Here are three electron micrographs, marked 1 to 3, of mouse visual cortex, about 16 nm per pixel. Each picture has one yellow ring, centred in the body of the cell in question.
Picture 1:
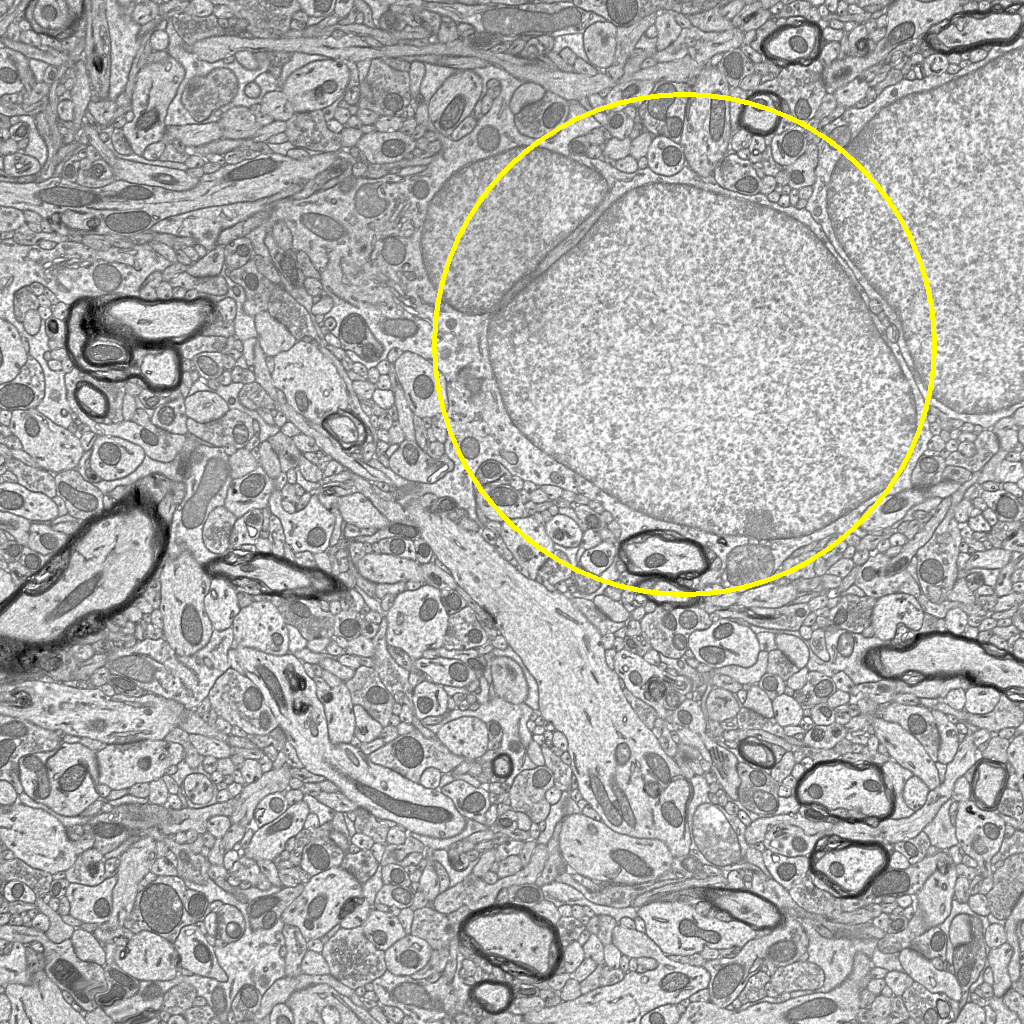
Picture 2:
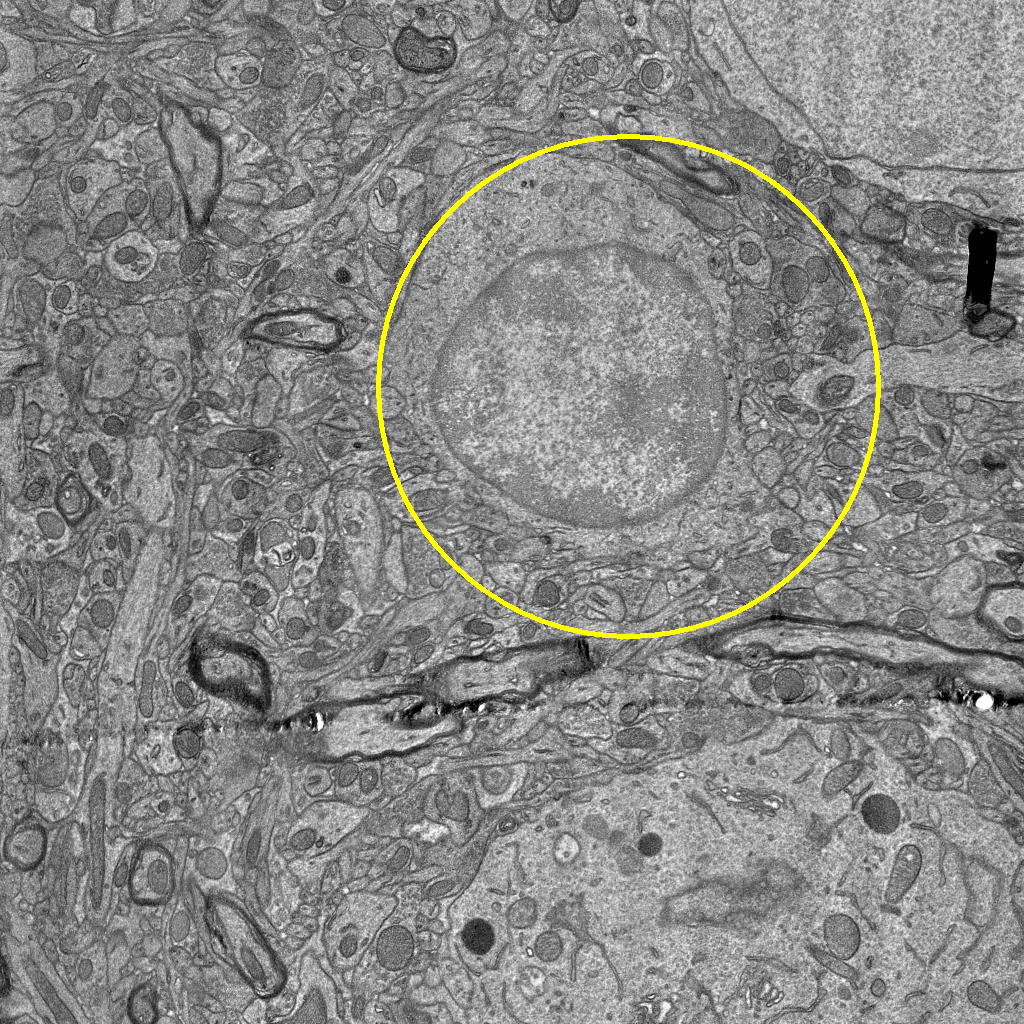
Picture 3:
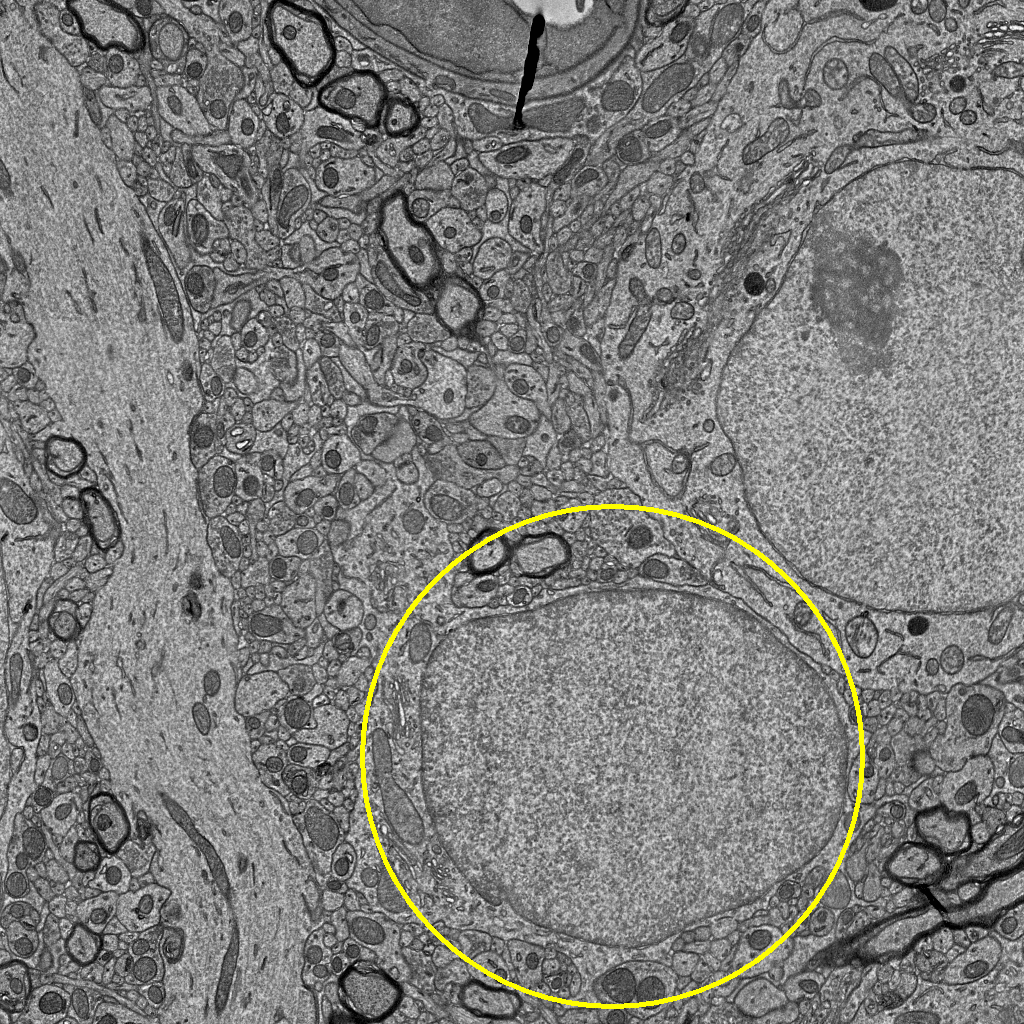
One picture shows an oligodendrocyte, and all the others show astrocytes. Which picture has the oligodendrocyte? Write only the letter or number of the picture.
2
